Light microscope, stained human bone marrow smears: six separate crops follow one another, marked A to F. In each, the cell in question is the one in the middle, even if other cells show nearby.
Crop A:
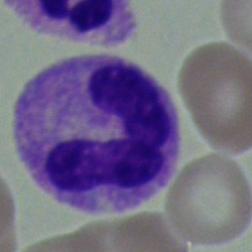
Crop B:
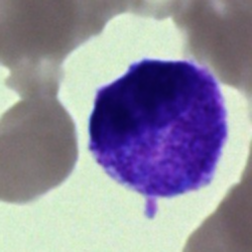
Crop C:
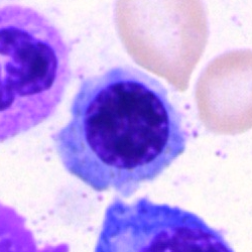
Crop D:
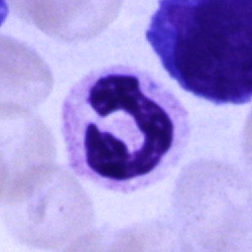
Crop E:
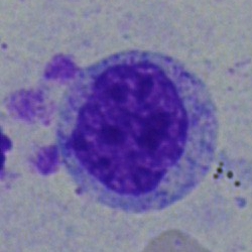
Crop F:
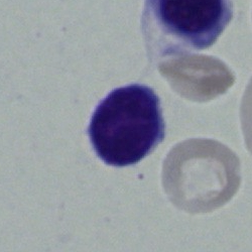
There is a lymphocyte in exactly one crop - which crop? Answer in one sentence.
Crop F is the one that shows a lymphocyte.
